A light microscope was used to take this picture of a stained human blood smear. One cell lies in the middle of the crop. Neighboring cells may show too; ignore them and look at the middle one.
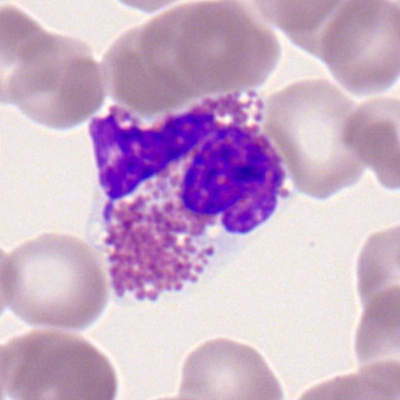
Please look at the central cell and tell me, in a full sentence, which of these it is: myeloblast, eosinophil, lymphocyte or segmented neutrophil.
In this smear crop, the middle cell is an eosinophil.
